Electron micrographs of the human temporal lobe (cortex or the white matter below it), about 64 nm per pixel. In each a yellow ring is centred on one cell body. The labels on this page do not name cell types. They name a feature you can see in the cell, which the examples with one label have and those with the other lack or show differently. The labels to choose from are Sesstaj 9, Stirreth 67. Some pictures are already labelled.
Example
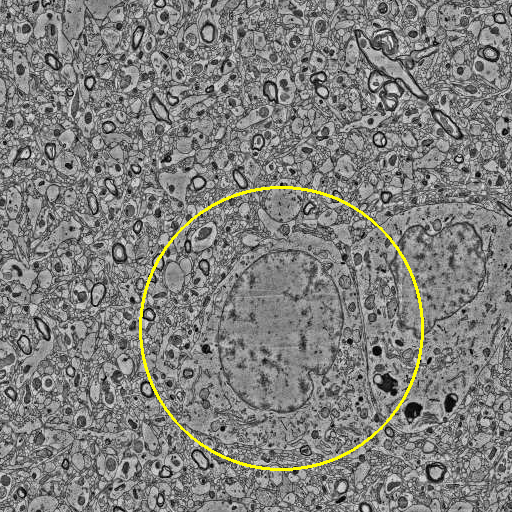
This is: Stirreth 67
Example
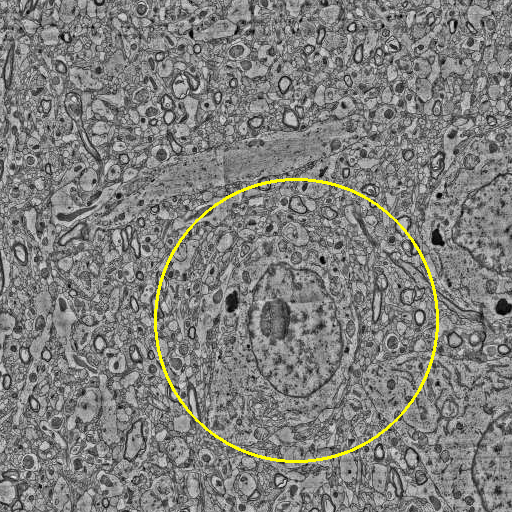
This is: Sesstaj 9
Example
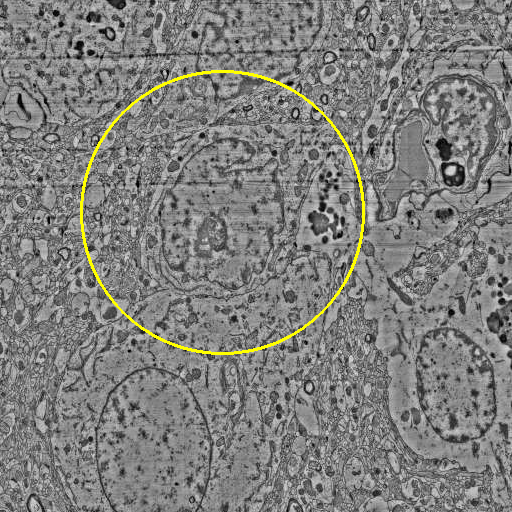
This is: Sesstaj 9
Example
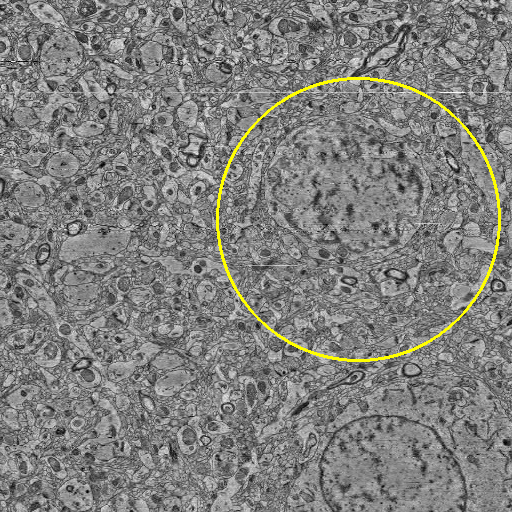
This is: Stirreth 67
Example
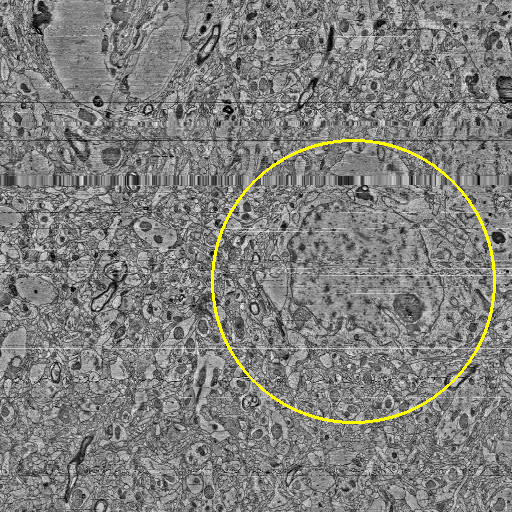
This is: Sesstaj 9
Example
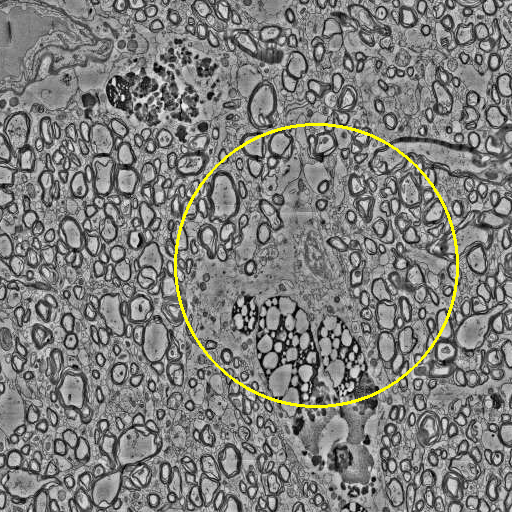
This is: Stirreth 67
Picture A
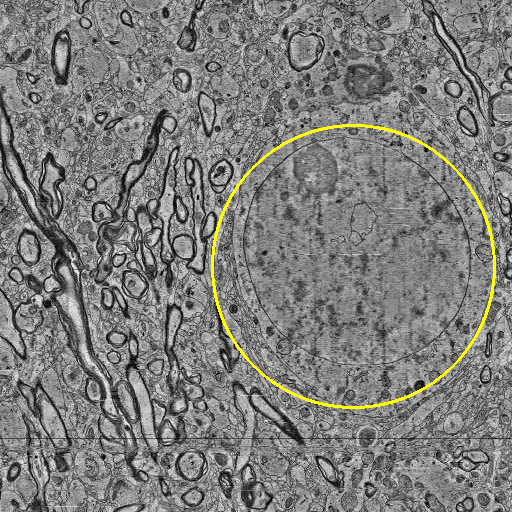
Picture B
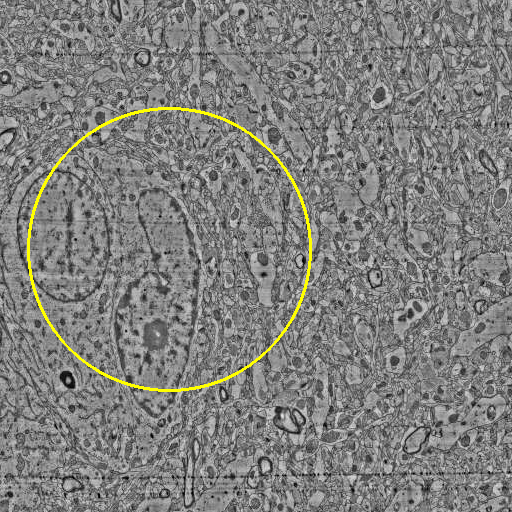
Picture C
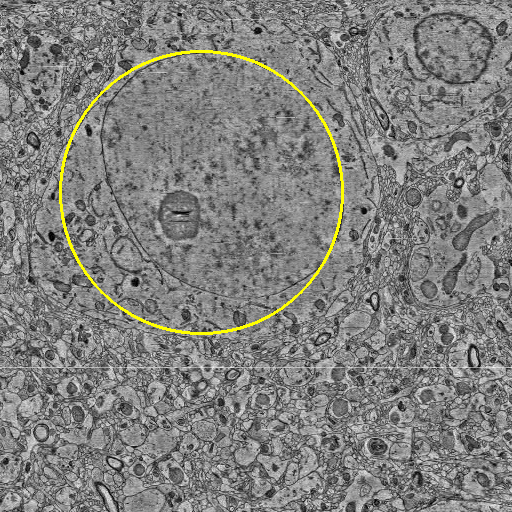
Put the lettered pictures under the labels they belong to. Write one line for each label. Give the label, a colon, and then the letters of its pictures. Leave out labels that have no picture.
Sesstaj 9: A, B, C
